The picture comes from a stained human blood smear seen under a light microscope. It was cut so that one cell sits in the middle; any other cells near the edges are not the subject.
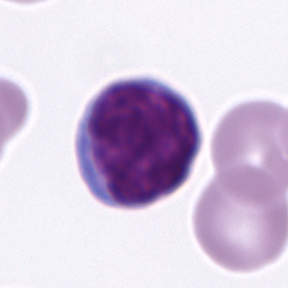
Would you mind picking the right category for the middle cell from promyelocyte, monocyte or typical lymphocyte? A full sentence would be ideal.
The cell nearest the centre of this crop is a typical lymphocyte.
